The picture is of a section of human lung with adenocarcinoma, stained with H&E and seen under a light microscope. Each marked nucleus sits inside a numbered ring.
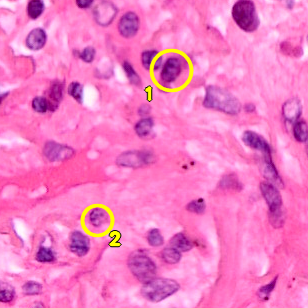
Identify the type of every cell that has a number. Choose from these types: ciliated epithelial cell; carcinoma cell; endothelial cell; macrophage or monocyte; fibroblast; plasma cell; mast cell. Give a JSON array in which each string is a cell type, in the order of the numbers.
["plasma cell", "mast cell"]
